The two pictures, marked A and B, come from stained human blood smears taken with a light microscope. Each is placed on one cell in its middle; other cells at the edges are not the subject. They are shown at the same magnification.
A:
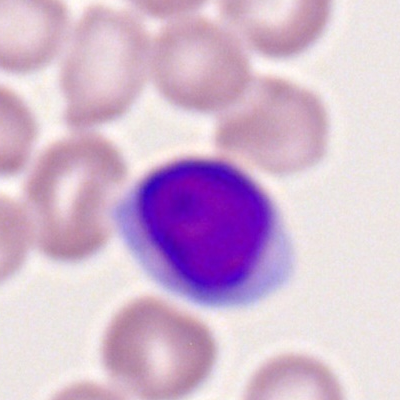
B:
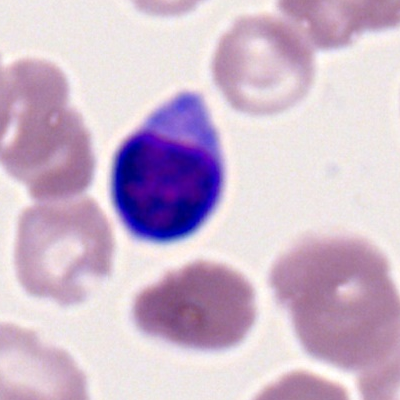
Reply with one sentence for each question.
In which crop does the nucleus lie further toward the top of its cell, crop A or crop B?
Seen within its cell, the nucleus in crop A lies further toward the top.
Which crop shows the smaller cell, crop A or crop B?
Crop B holds the smaller cell, since the cell in crop A covers about 1.5 times as much area.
